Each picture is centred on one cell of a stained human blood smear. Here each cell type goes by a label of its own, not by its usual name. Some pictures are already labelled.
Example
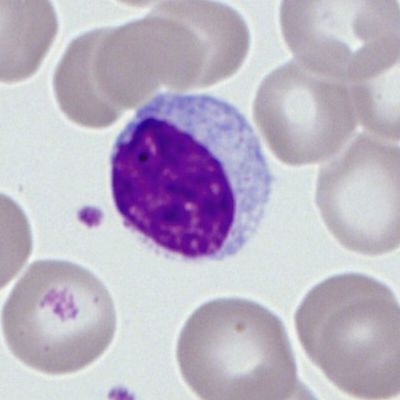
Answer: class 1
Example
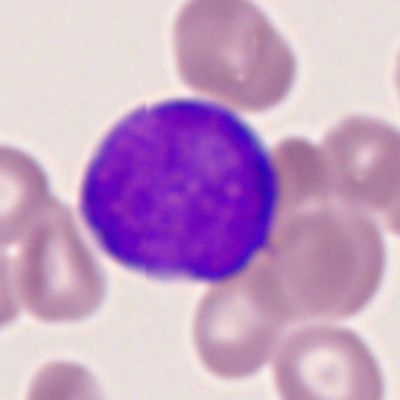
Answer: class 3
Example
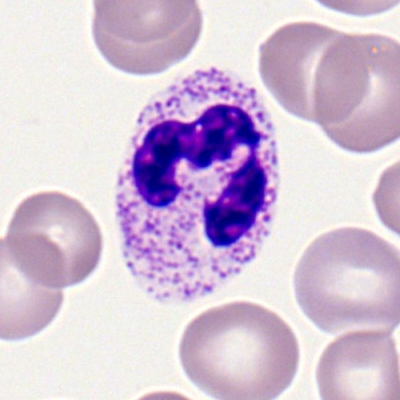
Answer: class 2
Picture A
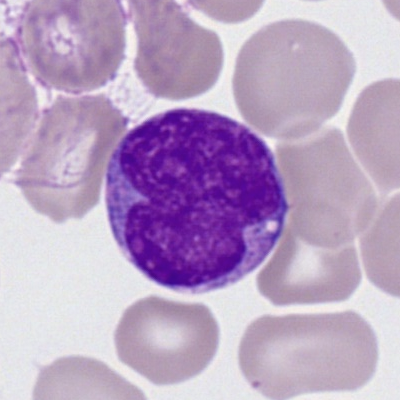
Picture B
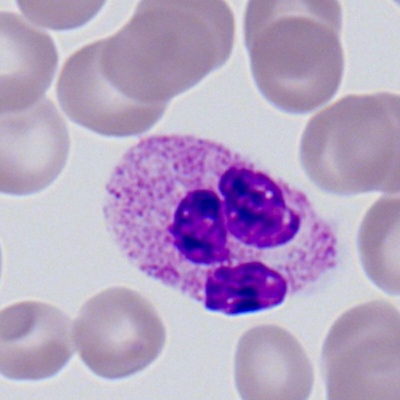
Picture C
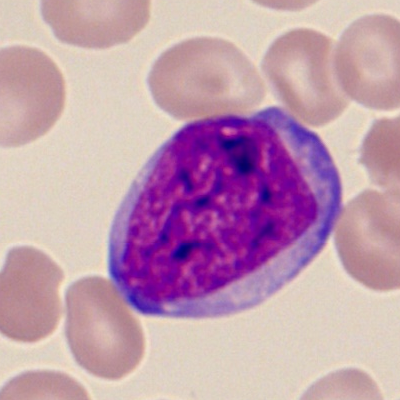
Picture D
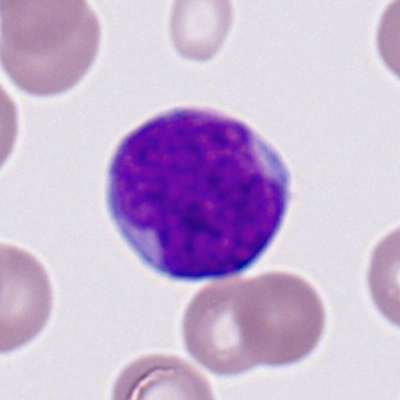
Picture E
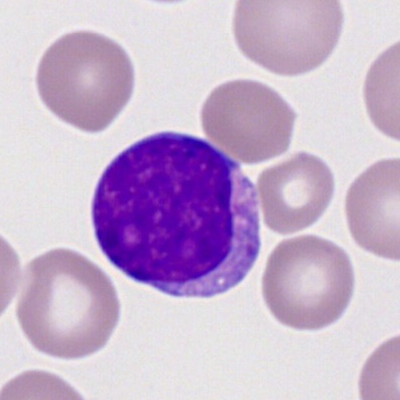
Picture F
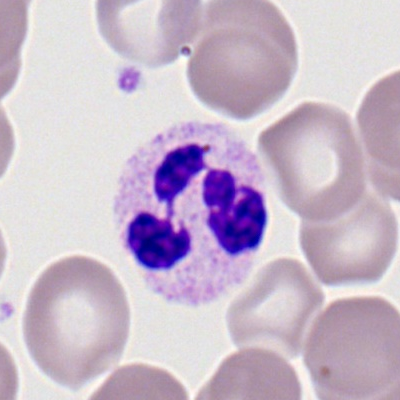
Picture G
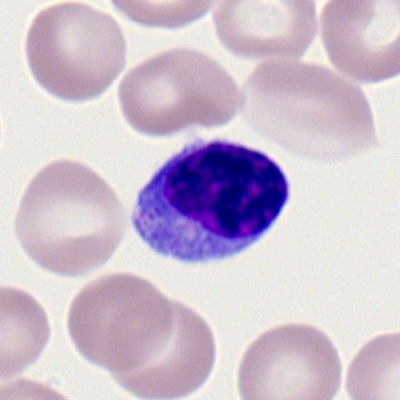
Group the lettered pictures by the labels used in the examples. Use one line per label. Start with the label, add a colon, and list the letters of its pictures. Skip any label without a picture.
class 1: G
class 3: A, C, D, E
class 2: B, F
